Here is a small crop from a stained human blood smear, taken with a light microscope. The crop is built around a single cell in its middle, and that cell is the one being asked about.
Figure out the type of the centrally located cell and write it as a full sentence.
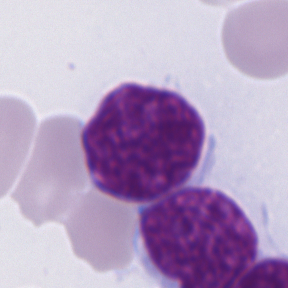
The cell nearest the centre of this crop is a myeloblast.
